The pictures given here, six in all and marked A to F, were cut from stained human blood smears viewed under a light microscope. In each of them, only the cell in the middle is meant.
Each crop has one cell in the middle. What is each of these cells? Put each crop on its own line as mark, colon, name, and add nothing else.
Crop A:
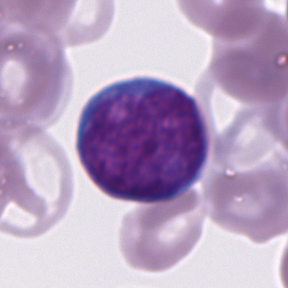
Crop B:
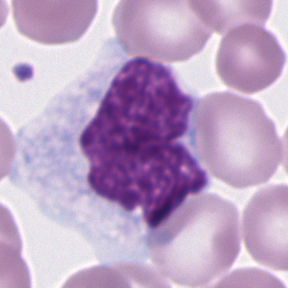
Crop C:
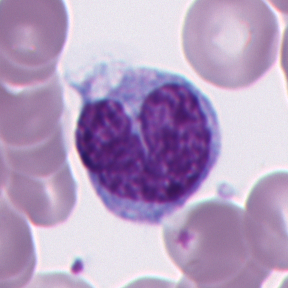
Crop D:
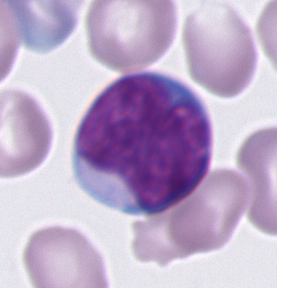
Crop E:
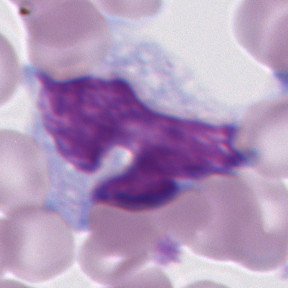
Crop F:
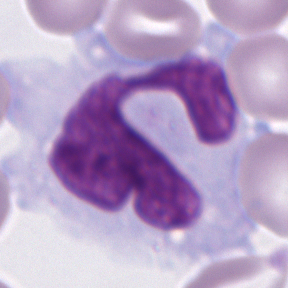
A: myeloblast
B: monocyte
C: monocyte
D: myeloblast
E: monocyte
F: monocyte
